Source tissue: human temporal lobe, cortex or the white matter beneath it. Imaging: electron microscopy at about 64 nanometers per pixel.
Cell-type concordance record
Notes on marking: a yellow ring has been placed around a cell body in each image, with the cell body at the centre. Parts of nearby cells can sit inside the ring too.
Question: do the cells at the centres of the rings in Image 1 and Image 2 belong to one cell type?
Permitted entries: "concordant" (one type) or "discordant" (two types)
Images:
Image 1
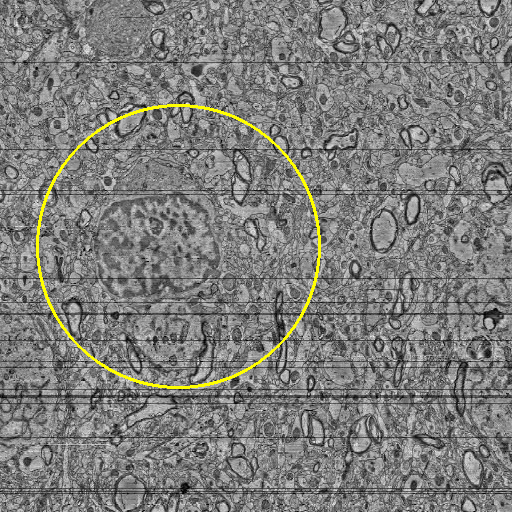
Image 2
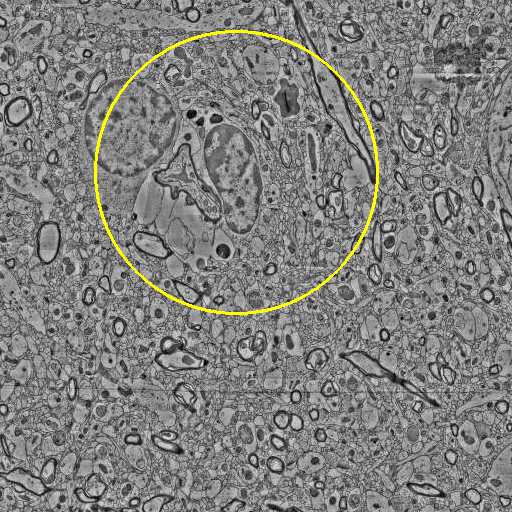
discordant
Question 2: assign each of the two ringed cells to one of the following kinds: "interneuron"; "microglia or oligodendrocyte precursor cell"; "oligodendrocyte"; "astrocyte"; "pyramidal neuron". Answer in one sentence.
The two cells are an oligodendrocyte in the first picture and a microglial cell or oligodendrocyte precursor cell in the second.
